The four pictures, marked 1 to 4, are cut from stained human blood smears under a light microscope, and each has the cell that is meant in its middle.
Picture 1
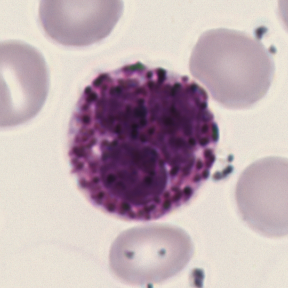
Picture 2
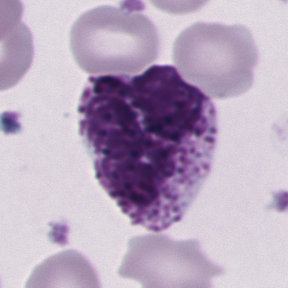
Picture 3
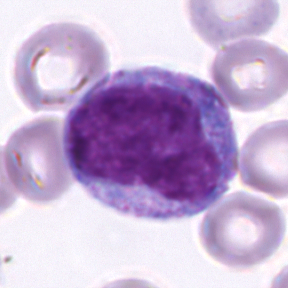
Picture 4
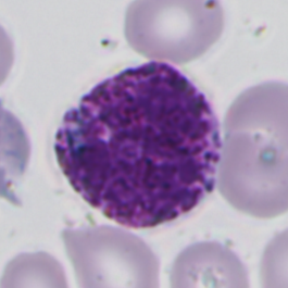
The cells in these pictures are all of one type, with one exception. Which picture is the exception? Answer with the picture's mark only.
3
